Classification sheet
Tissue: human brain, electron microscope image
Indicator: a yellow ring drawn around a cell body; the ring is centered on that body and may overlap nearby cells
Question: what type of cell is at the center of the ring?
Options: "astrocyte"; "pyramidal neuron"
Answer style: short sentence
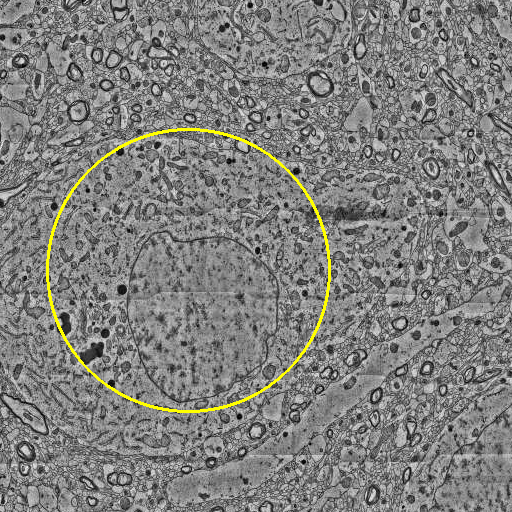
At the ring's center is a pyramidal neuron.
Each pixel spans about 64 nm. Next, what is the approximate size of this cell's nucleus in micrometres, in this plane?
About 11 micrometers across, in this plane.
